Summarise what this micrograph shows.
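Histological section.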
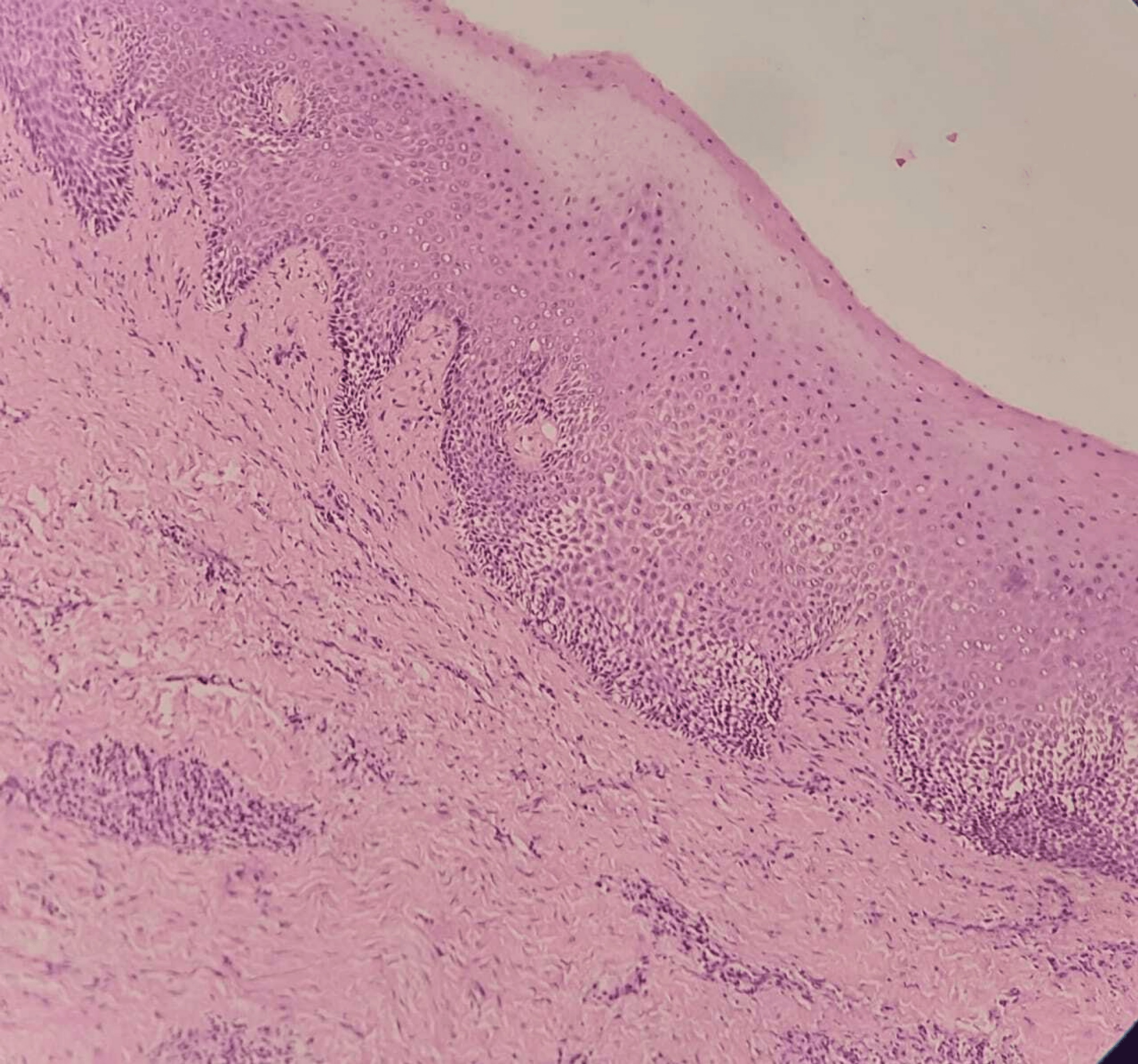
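A thick stratified squamous epithelium lies over a dense pink fibrous connective tissue. The epithelium has a dark basal layer, broad rete ridges, and a flattened pale surface layer that still carries small nuclei. Scattered bands and clusters of small dark round cells lie within the stroma, and they amount to a hyperplastic parakeratinized epithelium over connective tissue infiltrated with chronic inflammatory cells.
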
